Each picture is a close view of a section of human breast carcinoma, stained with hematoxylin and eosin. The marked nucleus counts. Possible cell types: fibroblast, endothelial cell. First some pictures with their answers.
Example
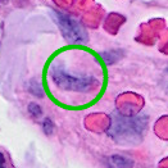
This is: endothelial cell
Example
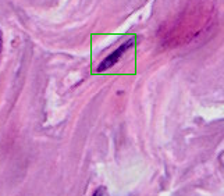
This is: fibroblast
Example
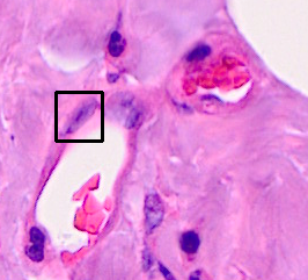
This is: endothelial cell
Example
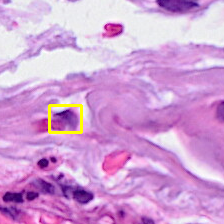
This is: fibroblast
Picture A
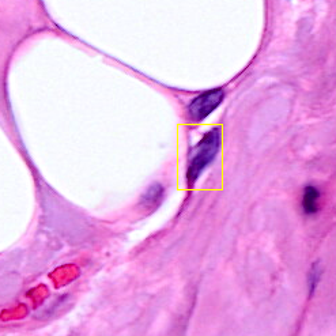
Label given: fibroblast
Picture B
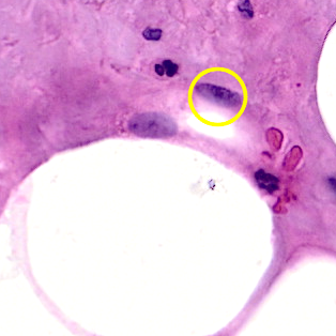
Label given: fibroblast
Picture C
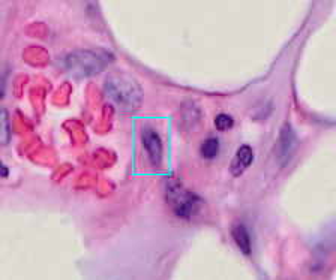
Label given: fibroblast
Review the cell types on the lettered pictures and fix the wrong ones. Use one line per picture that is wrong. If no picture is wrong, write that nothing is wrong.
Wrong: C (fibroblast); correct: endothelial cell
